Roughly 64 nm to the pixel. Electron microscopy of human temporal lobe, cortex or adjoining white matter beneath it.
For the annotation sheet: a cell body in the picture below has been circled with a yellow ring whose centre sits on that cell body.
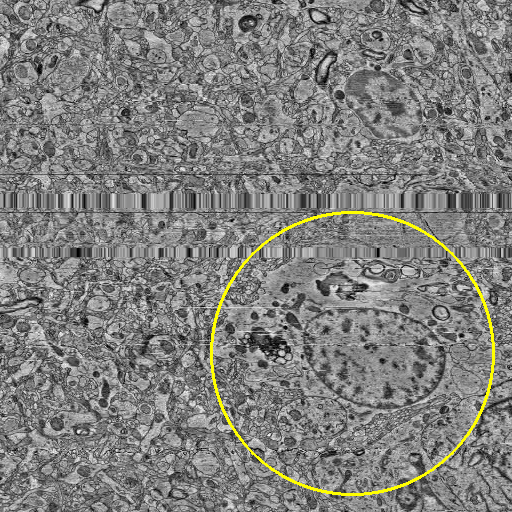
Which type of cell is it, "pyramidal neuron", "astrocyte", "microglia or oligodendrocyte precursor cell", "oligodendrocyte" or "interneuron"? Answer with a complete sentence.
The circled cell is an astrocyte.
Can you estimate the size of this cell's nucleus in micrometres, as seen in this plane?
The nucleus of the ringed cell is approximately 8 by 6 micrometres in this plane.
